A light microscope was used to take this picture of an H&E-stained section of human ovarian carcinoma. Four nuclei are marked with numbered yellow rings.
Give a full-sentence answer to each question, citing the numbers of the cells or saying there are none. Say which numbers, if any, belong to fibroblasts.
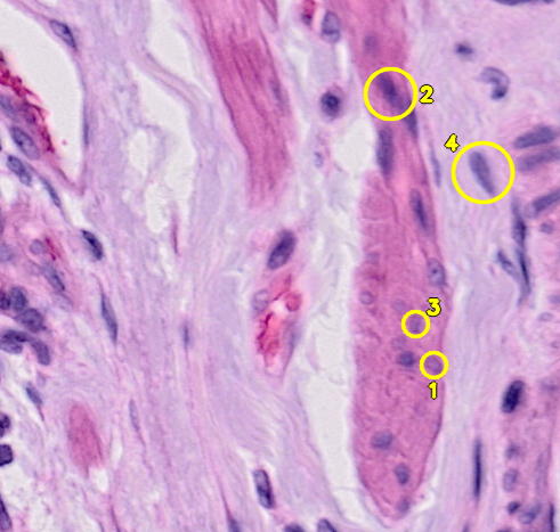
With the exception of cell 4, no marked cell is a fibroblast.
